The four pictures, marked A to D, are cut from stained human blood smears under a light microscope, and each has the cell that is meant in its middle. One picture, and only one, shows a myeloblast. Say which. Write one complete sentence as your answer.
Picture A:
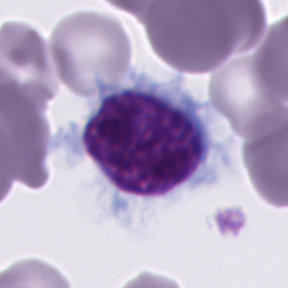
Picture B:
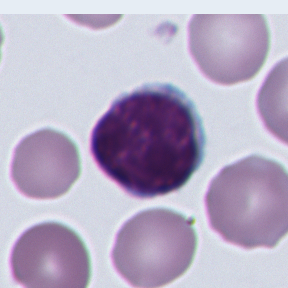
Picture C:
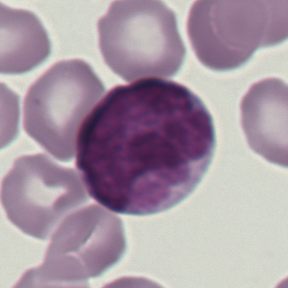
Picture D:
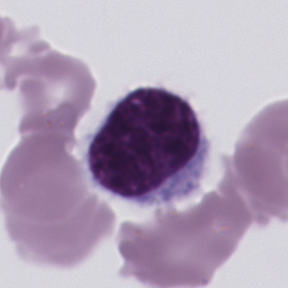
Picture C shows the myeloblast.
